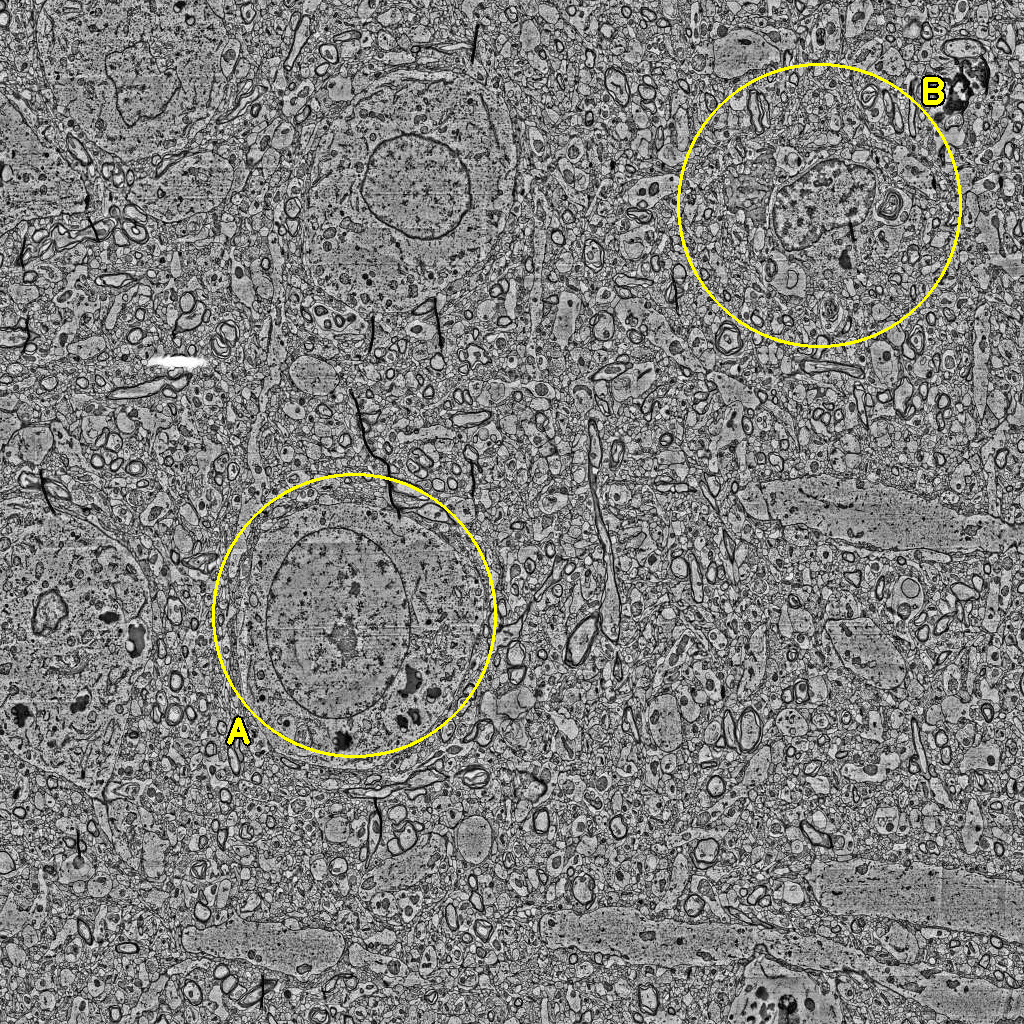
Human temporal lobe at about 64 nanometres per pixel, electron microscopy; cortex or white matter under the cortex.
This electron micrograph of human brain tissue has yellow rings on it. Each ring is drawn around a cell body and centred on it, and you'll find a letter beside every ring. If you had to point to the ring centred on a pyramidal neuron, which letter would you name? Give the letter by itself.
A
